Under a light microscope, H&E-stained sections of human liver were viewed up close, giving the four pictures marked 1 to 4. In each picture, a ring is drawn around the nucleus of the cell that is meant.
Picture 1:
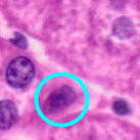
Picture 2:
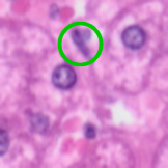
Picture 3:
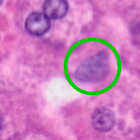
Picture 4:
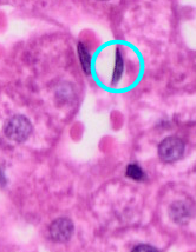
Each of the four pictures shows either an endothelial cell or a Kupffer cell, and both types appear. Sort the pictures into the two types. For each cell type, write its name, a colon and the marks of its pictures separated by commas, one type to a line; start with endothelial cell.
endothelial cell: 4
Kupffer cell: 1, 2, 3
